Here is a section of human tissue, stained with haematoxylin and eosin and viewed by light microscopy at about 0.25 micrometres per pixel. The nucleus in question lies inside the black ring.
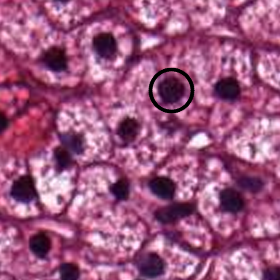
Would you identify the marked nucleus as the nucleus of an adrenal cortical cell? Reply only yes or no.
yes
